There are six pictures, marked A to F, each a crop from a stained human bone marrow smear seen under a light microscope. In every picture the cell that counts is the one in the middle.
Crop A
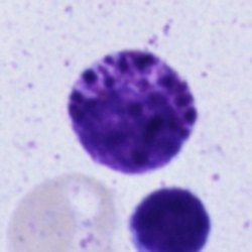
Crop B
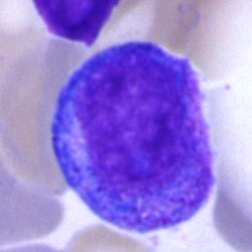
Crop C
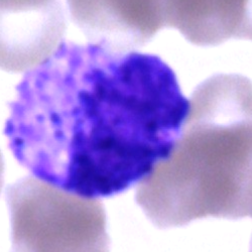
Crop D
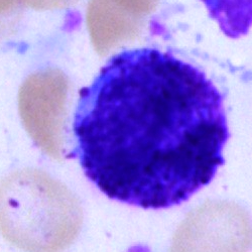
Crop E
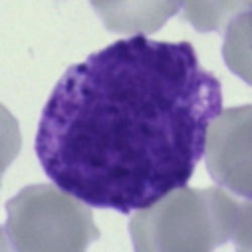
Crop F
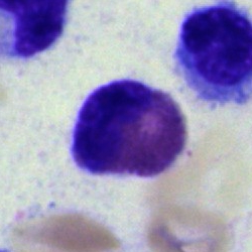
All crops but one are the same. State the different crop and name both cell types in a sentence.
Crop B breaks the pattern as a promyelocyte; the other crops all contain basophils.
